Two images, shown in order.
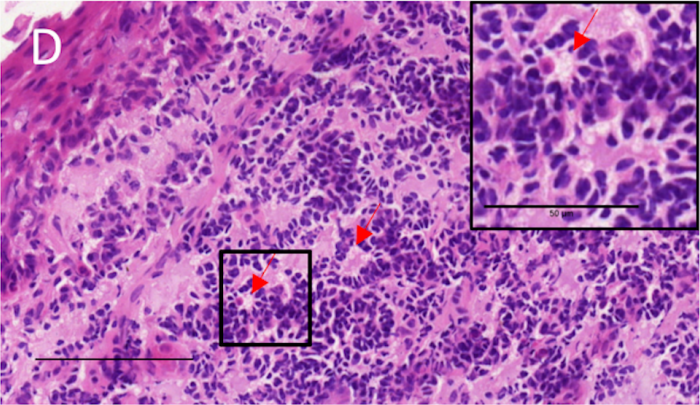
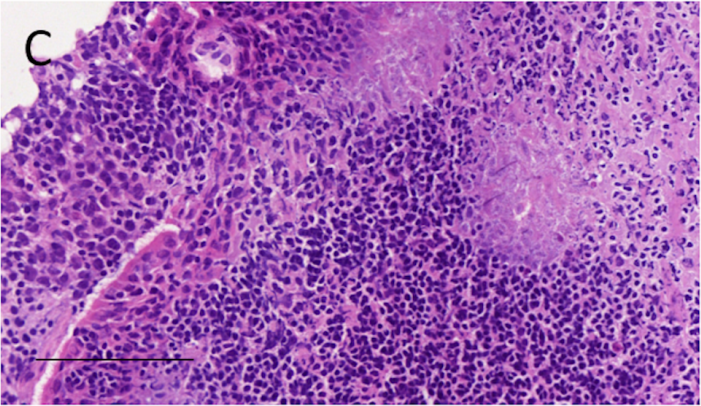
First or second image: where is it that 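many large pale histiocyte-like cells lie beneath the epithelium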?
The first image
